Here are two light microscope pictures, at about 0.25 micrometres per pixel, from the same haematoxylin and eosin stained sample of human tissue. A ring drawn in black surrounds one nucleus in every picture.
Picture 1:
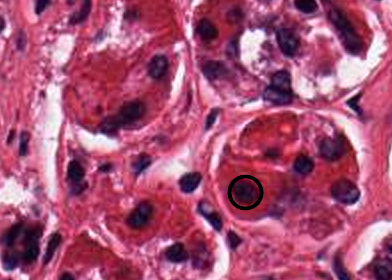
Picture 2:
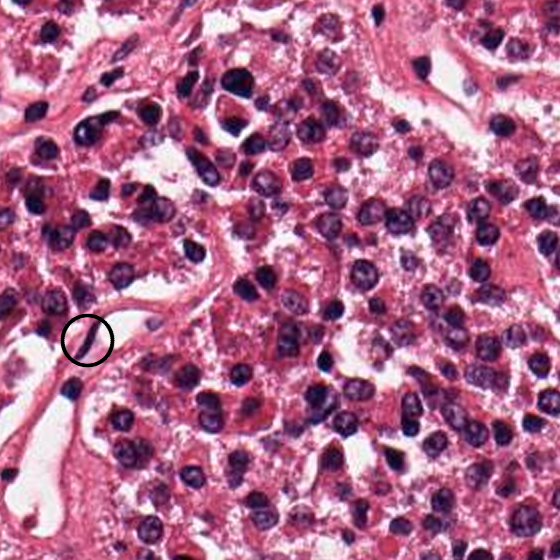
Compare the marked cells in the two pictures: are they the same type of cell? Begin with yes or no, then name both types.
No, the first is an anterior pituitary cell and the second an endothelial cell.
